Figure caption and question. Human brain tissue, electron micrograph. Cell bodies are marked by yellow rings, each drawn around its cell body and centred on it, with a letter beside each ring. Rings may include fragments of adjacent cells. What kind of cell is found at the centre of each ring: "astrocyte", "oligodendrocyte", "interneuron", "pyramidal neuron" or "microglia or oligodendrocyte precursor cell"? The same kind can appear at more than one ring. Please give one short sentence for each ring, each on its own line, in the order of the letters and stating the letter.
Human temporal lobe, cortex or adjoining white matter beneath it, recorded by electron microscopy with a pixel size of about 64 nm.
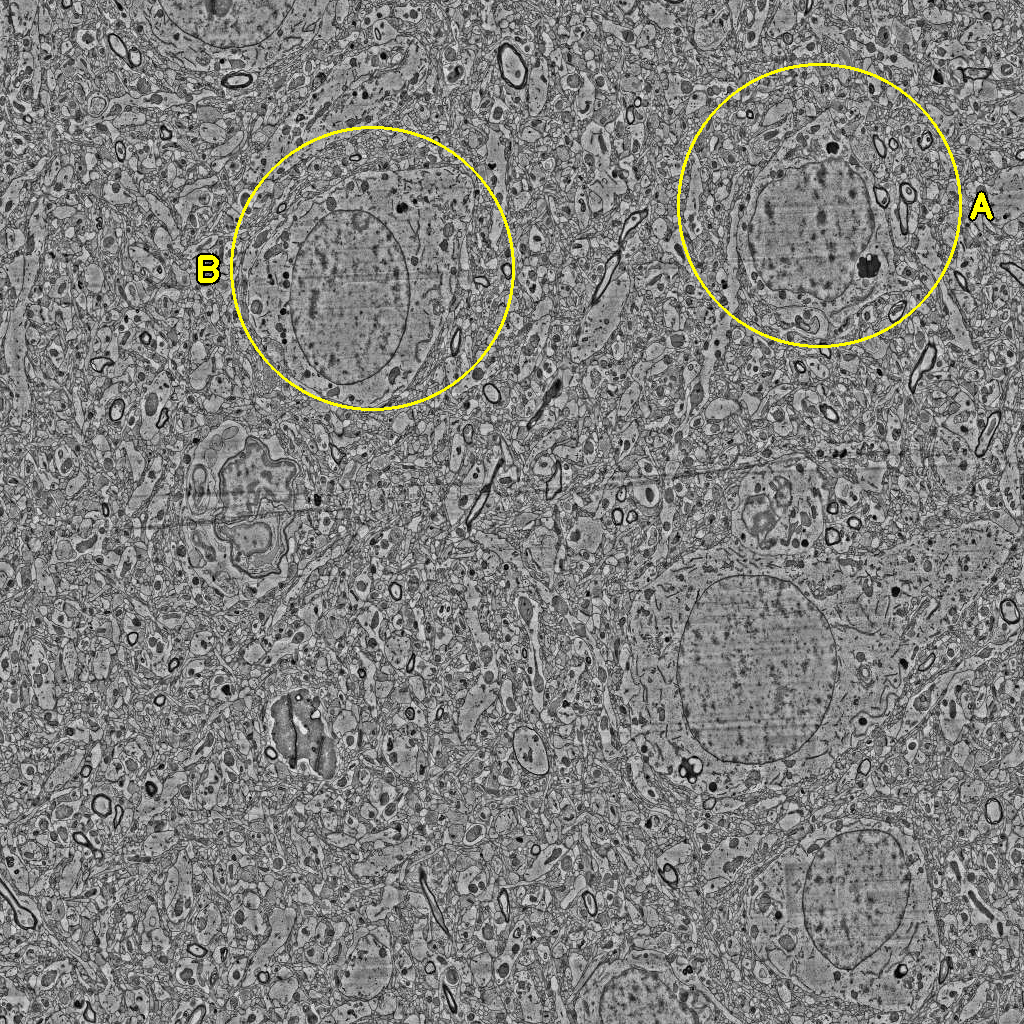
The centre of ring A falls on an interneuron.
The centre of ring B falls on a pyramidal neuron.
